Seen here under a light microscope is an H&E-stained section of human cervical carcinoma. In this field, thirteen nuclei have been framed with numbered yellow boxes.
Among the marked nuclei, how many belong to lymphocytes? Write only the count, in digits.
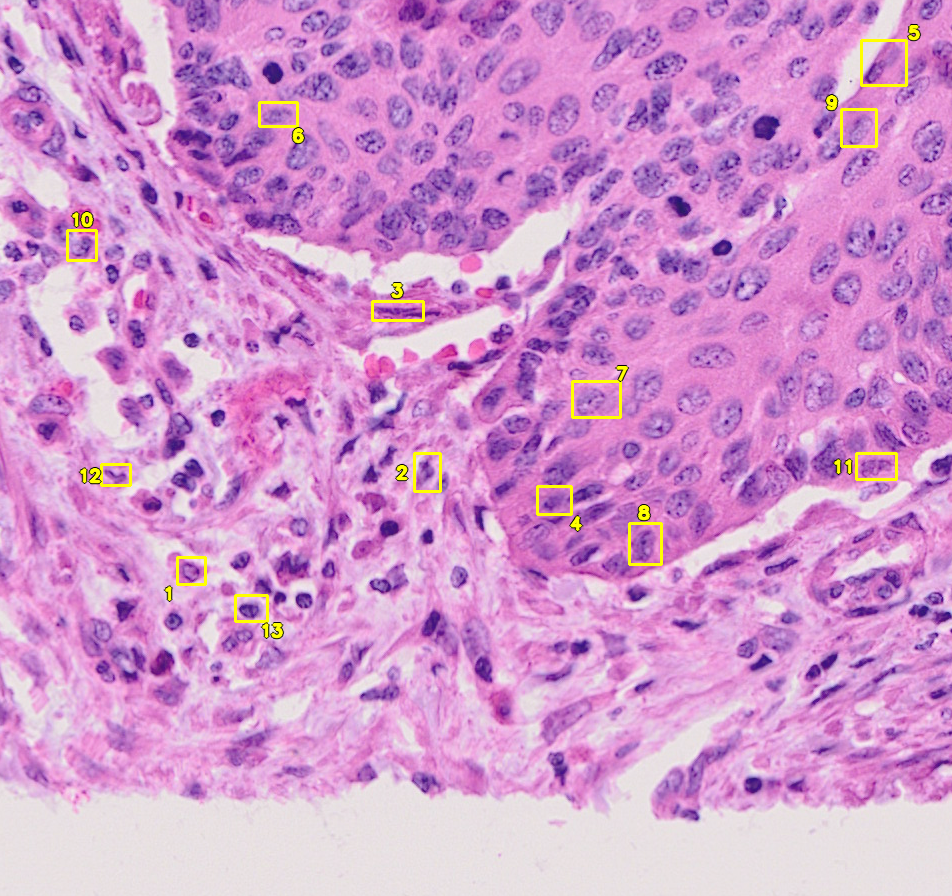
1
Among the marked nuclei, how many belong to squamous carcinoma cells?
7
